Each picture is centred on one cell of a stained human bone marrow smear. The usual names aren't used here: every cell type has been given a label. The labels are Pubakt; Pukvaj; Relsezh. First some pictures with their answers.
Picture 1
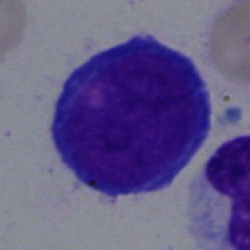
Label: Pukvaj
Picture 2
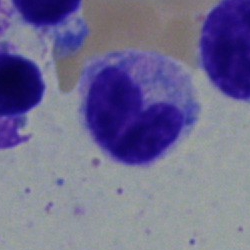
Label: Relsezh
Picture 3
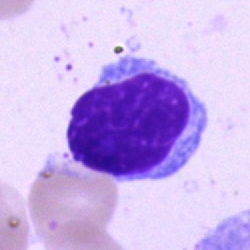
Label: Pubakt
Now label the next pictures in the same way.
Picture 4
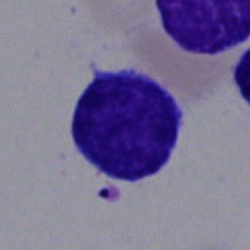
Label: Pubakt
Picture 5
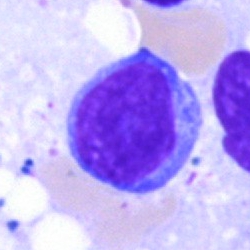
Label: Pubakt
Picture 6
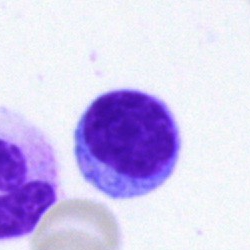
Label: Pubakt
